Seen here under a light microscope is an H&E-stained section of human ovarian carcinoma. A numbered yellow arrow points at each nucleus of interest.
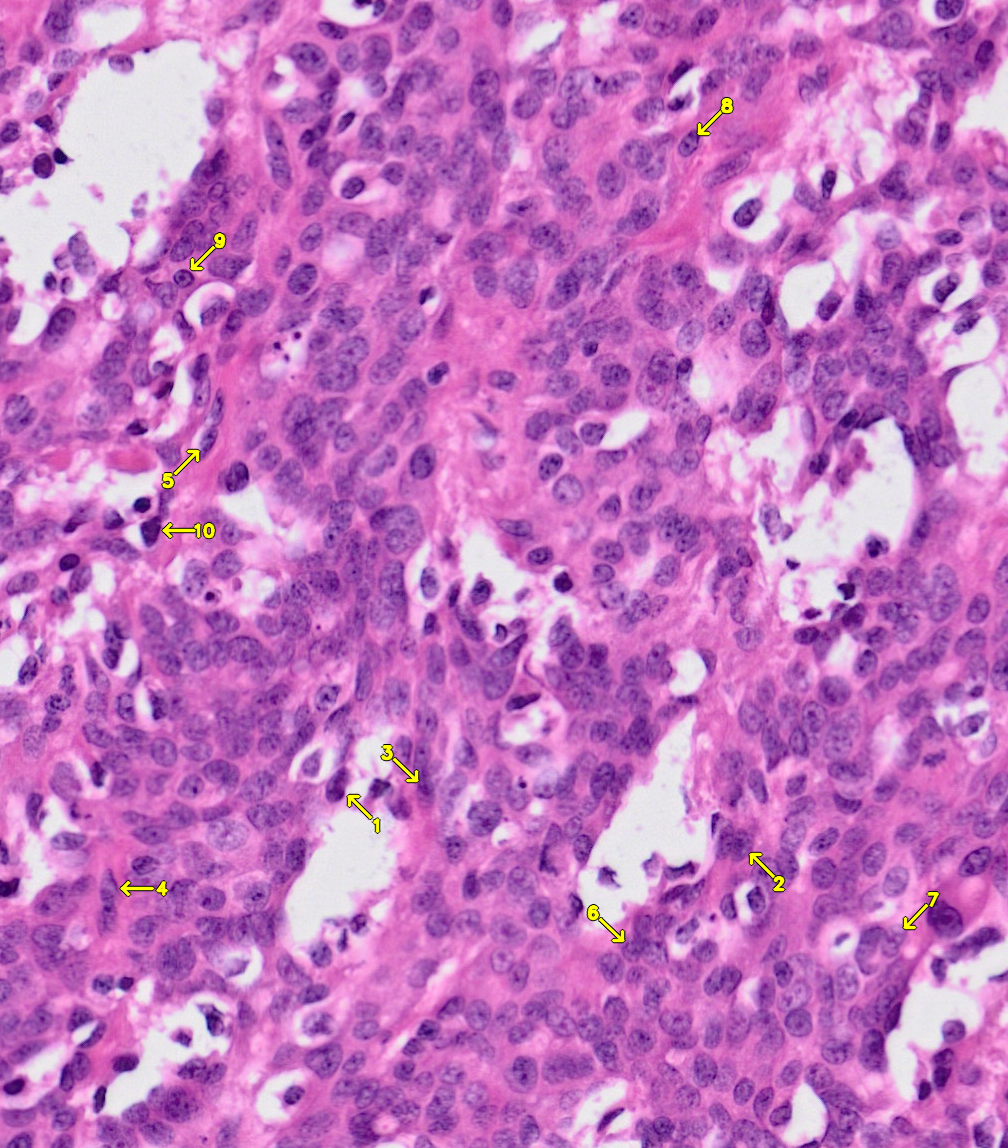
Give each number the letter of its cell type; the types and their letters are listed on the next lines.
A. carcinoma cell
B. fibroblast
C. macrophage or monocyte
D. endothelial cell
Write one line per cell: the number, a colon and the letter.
1: A
2: A
3: A
4: D
5: D
6: A
7: A
8: C
9: C
10: A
